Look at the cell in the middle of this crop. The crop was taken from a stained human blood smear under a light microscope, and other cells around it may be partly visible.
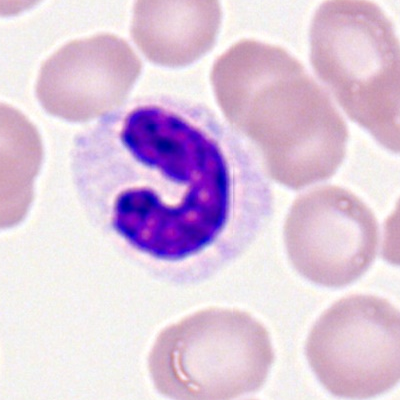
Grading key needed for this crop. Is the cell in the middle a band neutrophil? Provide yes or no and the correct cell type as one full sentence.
Yes, the central cell is to be recorded as a band neutrophil.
